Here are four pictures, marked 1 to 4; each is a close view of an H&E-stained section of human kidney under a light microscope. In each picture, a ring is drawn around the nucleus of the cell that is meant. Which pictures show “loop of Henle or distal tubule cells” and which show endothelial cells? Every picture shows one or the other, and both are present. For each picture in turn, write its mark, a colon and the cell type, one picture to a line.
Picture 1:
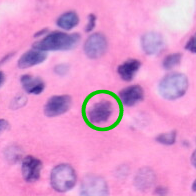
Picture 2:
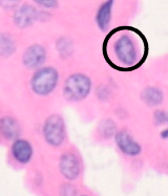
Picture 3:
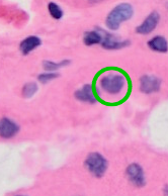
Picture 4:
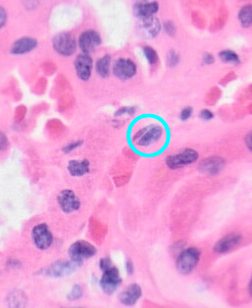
1: loop of Henle or distal tubule cell
2: loop of Henle or distal tubule cell
3: loop of Henle or distal tubule cell
4: endothelial cell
